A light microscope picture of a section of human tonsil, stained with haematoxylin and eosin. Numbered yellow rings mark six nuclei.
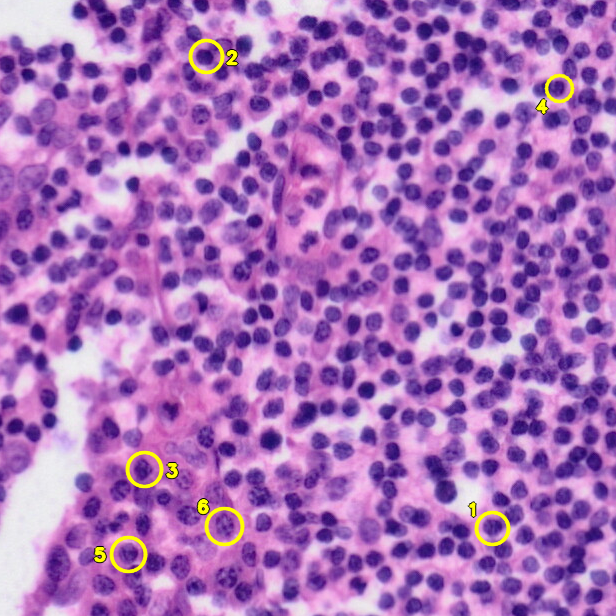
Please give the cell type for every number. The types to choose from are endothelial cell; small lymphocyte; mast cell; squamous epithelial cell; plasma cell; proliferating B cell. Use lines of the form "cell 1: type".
cell 1: small lymphocyte
cell 2: small lymphocyte
cell 3: plasma cell
cell 4: small lymphocyte
cell 5: plasma cell
cell 6: plasma cell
